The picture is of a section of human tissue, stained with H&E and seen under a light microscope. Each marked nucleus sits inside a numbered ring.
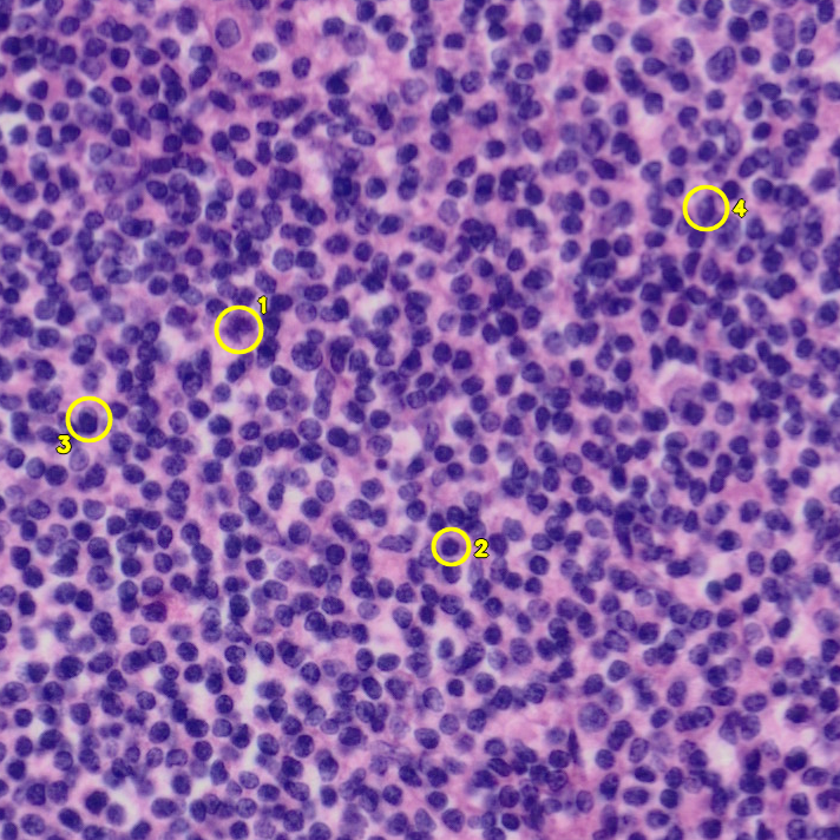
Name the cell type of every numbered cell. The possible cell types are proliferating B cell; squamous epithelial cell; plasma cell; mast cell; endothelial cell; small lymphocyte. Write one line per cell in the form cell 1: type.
cell 1: proliferating B cell
cell 2: small lymphocyte
cell 3: small lymphocyte
cell 4: small lymphocyte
